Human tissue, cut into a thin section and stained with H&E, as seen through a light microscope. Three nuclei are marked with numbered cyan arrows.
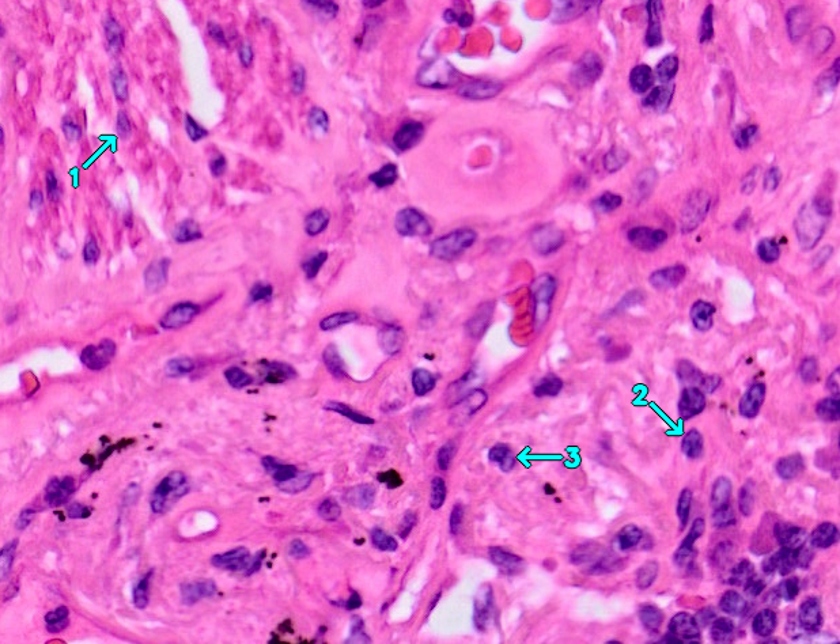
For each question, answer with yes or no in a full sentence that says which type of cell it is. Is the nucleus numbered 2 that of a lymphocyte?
Yes, the marked cell number 2 is a lymphocyte.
